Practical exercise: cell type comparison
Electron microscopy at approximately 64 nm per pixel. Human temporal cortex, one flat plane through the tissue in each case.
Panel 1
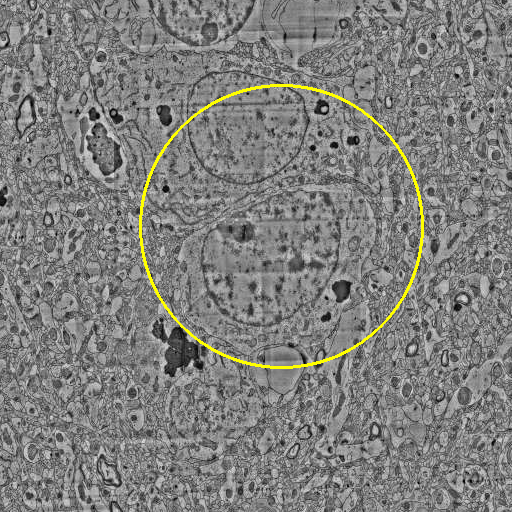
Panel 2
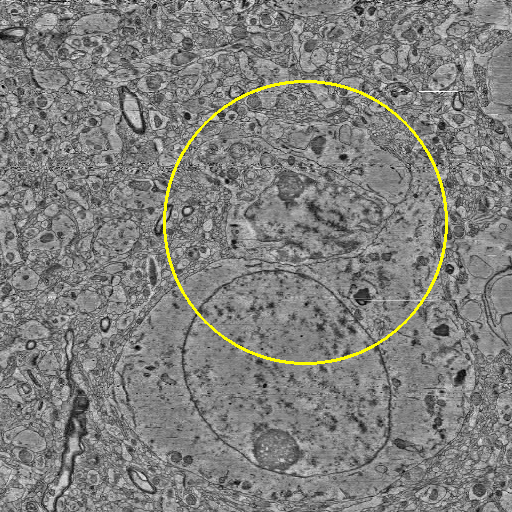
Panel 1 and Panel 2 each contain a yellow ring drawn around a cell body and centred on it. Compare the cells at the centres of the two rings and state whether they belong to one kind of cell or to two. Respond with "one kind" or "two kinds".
one kind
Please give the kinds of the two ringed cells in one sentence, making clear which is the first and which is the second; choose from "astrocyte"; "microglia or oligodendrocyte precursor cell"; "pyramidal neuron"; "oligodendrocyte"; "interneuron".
Both pictures show an interneuron at the centre of the ring.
